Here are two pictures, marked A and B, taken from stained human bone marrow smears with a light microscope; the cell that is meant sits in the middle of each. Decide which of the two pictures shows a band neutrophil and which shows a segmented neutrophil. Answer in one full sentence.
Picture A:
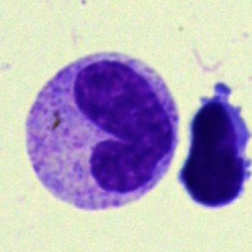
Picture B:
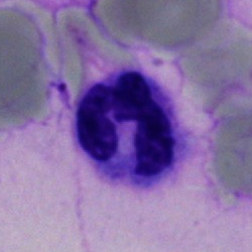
It is picture A that shows a band neutrophil, and picture B that shows a segmented neutrophil.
